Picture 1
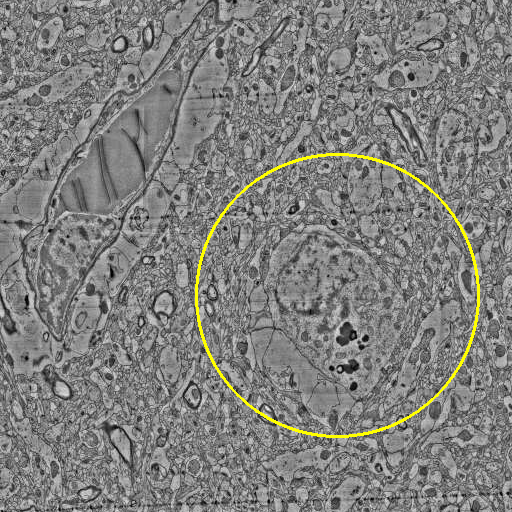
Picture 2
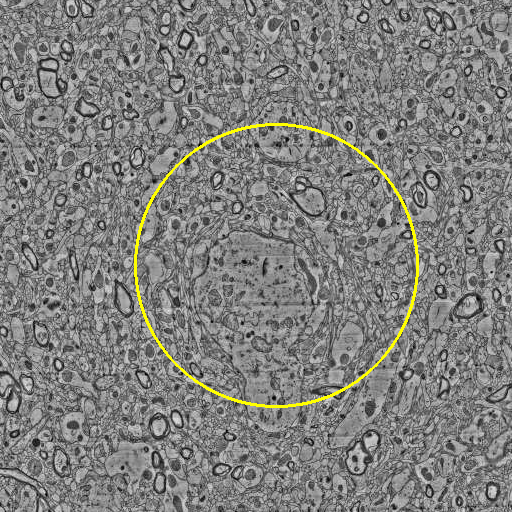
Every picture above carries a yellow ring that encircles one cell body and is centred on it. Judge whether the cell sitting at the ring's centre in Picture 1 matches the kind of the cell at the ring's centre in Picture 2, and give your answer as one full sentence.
No, the cells centred in the rings of Pictures 1 and 2 belong to two kinds.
